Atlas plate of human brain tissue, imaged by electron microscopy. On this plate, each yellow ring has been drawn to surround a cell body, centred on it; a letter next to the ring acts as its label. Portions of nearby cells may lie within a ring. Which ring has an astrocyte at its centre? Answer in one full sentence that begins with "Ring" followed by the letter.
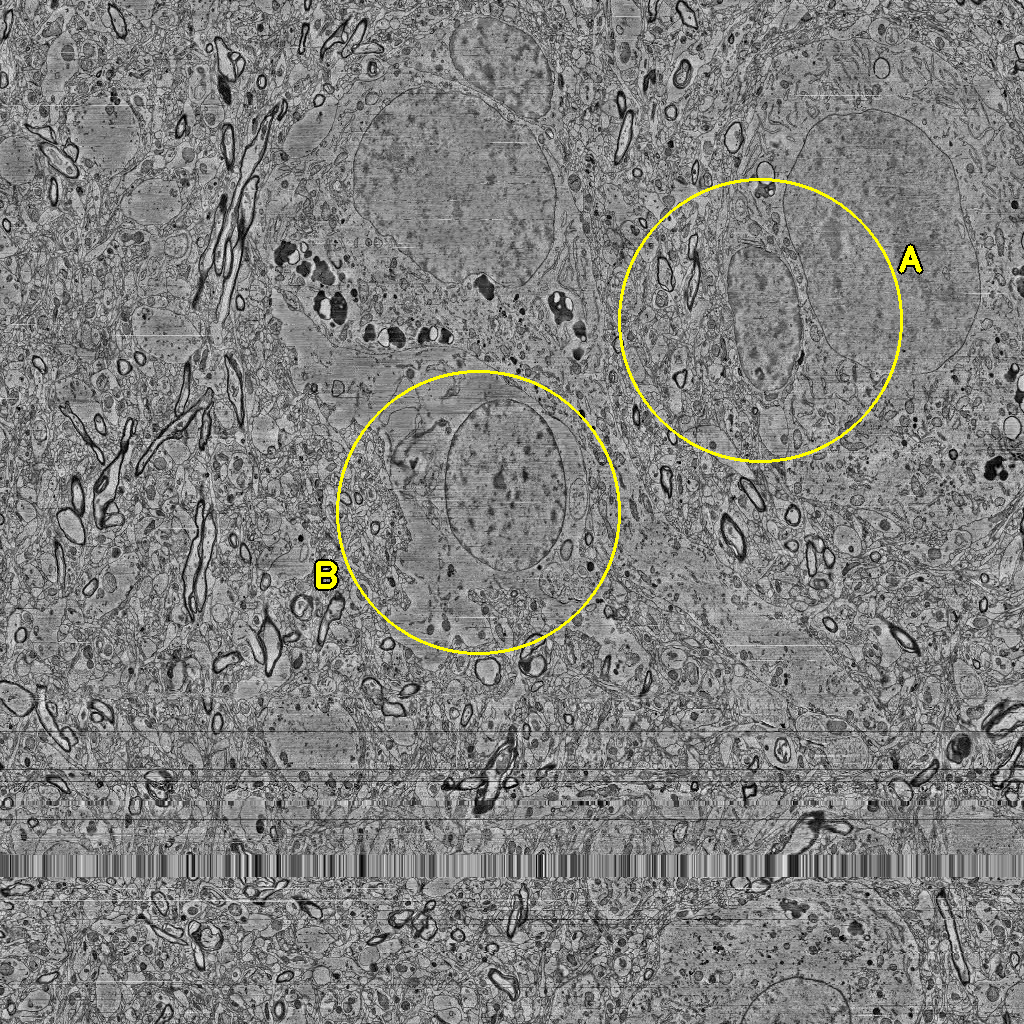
Ring B is drawn around the requested cell, which lies at its centre in the picture.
